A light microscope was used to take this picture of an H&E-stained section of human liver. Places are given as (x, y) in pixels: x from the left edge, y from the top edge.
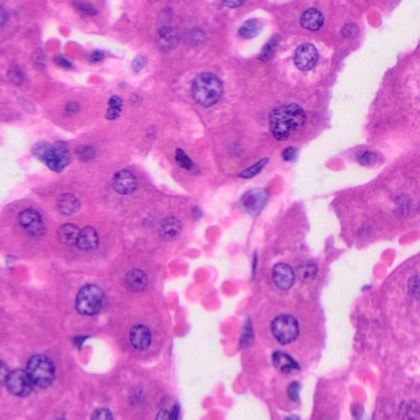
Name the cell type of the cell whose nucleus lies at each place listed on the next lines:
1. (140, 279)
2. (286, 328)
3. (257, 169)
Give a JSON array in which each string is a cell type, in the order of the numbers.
["hepatocyte", "hepatocyte", "fibroblast or stellate cell"]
